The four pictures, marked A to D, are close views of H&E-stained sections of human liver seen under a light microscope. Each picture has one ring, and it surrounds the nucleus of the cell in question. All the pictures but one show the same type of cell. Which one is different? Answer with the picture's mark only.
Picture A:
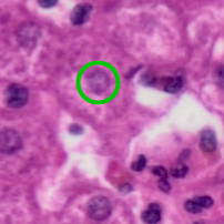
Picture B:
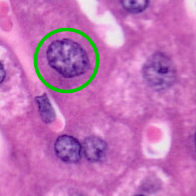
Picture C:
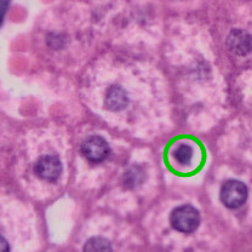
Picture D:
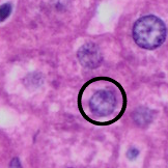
C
